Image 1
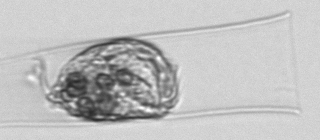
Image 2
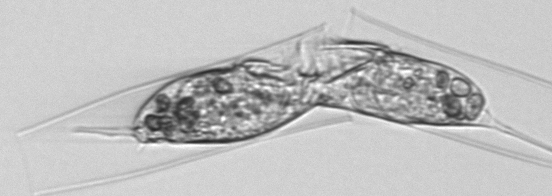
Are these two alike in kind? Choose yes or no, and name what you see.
Yes. Tintinnids.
